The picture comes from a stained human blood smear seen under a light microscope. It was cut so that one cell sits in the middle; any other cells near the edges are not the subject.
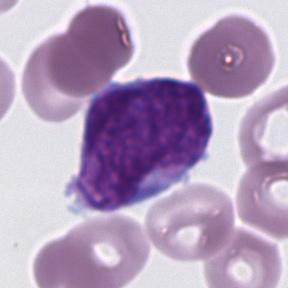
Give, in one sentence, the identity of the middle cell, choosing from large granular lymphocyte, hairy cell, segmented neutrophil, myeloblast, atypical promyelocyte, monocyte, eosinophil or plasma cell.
The crop centres on a single cell, and that cell is an atypical promyelocyte.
